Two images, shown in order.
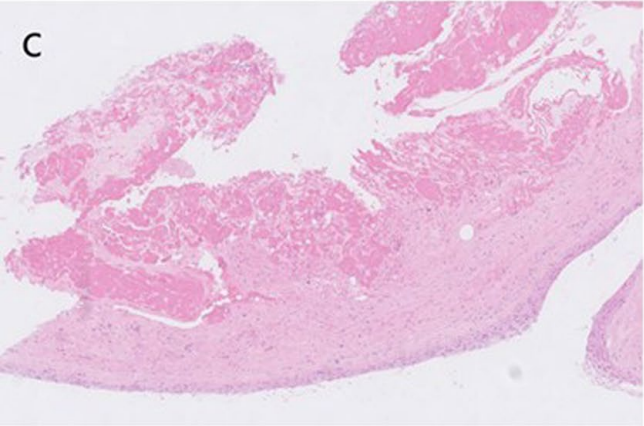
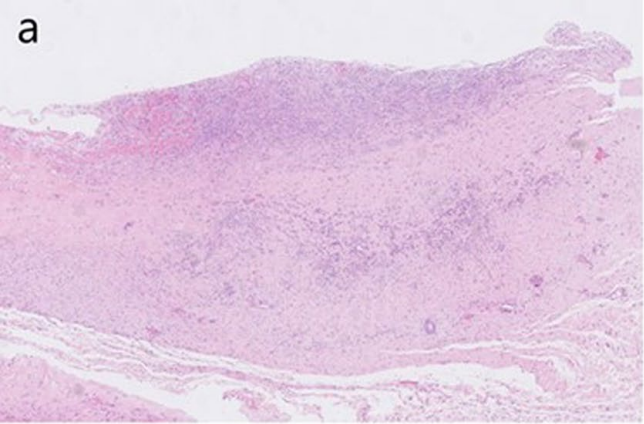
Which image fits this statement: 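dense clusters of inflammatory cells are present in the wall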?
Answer: The second image.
